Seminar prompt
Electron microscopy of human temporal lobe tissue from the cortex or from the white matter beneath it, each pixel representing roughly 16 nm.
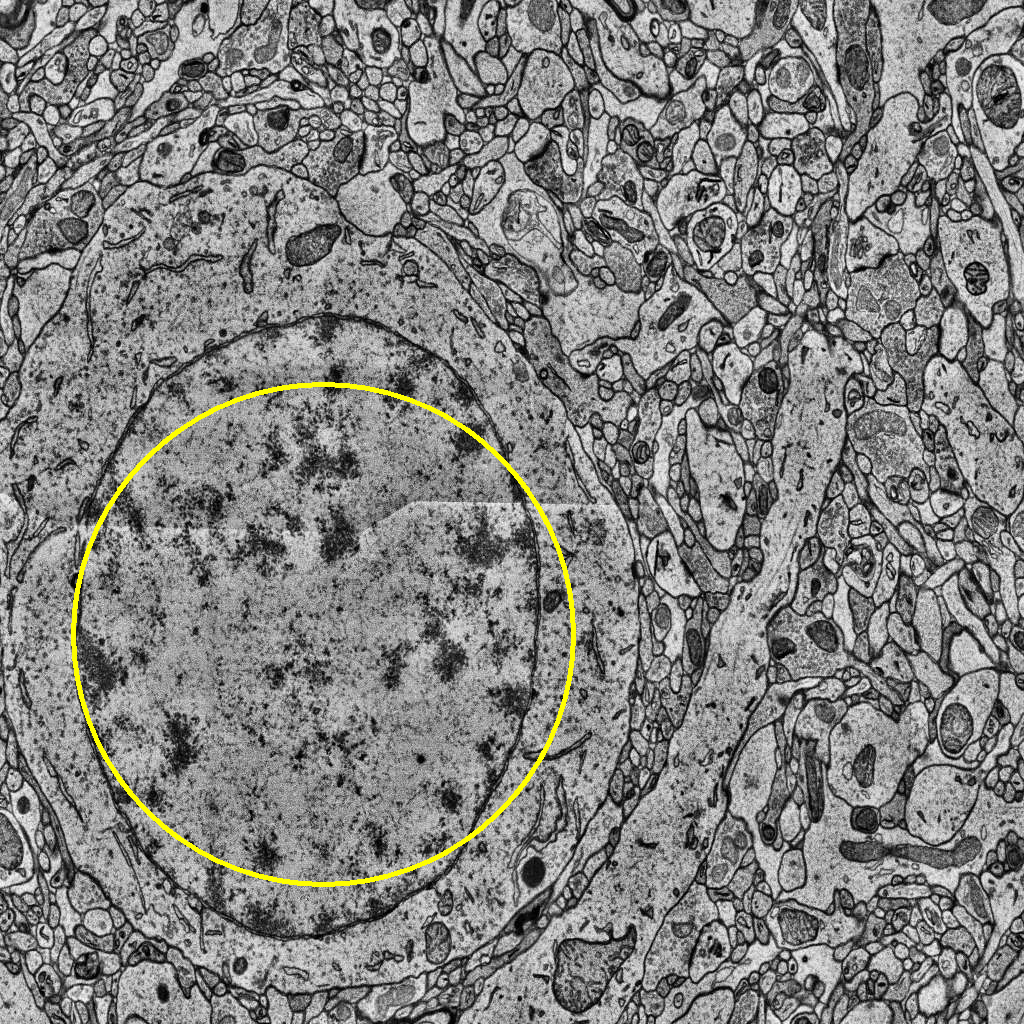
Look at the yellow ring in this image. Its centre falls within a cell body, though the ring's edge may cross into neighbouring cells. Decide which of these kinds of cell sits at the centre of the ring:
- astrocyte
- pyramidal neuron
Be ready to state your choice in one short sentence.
The kind of cell at the ring's centre is a pyramidal neuron.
